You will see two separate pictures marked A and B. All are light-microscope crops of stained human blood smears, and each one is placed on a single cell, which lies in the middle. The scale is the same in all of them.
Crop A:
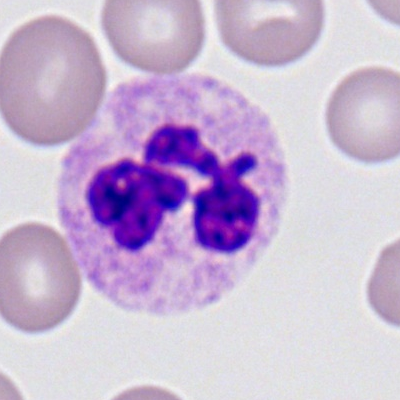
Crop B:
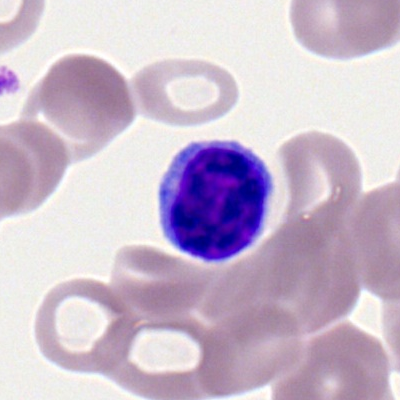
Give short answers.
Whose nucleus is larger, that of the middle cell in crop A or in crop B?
A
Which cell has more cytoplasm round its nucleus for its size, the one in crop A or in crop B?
A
